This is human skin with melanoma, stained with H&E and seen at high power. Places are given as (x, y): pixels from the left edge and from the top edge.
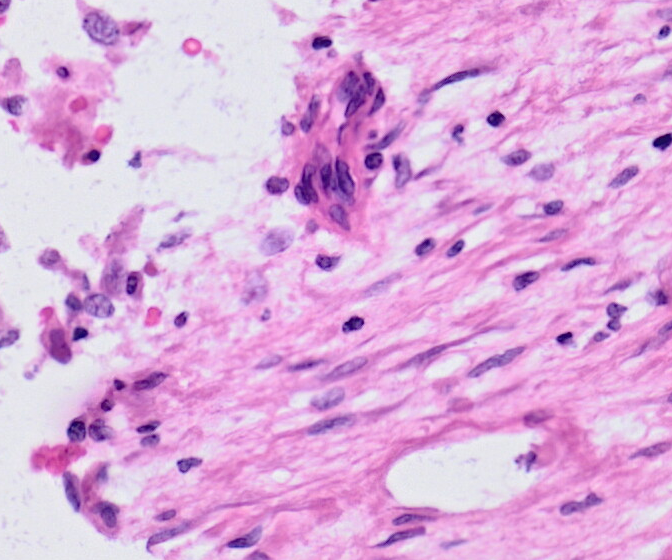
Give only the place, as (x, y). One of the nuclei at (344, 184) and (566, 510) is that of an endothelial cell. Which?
(344, 184)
